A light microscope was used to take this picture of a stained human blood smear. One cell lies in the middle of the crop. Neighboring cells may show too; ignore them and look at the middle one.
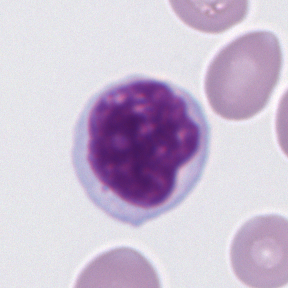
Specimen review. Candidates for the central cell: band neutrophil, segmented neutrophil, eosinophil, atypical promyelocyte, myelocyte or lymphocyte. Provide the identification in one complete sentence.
Occupying the centre of the crop is a lymphocyte.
